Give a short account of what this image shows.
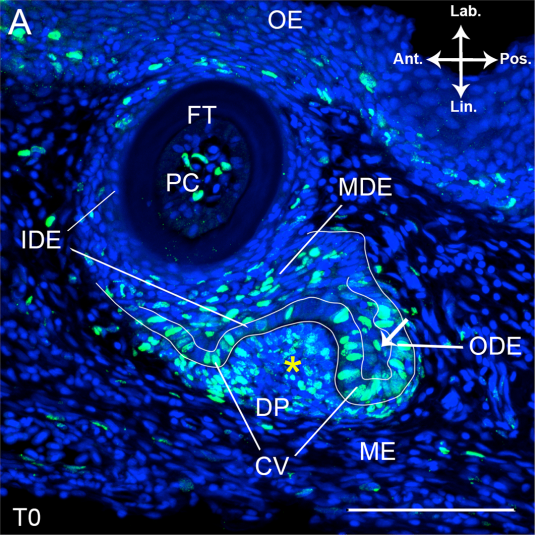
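Frontal section through a tooth family: a functional tooth with a thick, dark, ring-shaped wall around a pulp cavity, and beside it a replacement tooth germ outlined in white. The germ's epithelium folds into a cup around a dense cluster of papilla cells, and many nuclei in both the folded epithelium and the papilla are green. The surrounding mesenchyme consists of elongated, mostly blue nuclei, while the overlying oral epithelium shows scattered green nuclei among blue ones.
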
